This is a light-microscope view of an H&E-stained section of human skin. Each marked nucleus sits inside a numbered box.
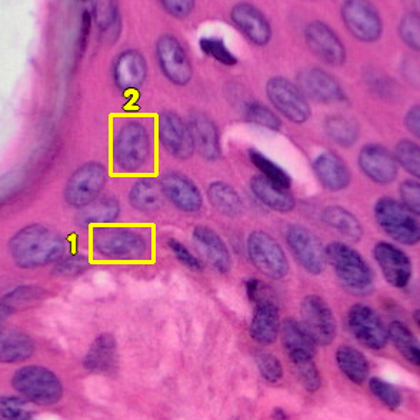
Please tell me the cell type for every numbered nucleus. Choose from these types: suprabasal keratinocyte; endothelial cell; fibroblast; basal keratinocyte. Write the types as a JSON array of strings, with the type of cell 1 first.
["basal keratinocyte", "suprabasal keratinocyte"]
